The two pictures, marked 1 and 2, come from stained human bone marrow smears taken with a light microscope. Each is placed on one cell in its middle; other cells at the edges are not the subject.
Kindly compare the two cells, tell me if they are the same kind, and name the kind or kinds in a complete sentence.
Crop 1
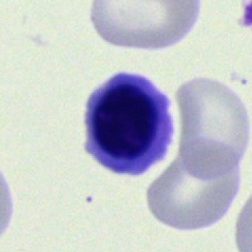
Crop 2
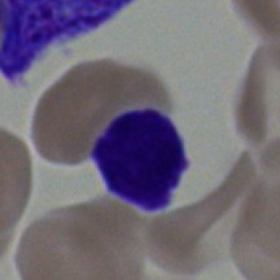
No, the cell of interest in crop 1 is an erythroblast, and in crop 2 it is a lymphocyte.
